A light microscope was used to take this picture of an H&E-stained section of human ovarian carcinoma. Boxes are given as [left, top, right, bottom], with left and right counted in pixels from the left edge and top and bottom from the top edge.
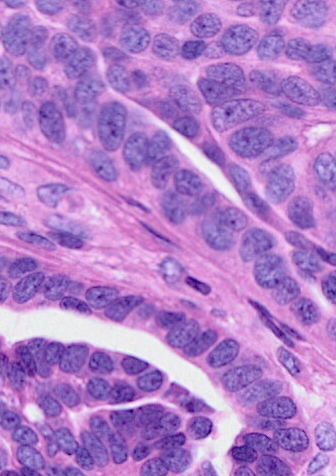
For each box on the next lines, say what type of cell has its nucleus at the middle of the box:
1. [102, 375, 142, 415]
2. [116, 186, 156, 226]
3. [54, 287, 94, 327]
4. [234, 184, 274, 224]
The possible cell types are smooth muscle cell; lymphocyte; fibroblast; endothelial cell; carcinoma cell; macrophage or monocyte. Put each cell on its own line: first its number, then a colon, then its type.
1: carcinoma cell
2: fibroblast
3: carcinoma cell
4: carcinoma cell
